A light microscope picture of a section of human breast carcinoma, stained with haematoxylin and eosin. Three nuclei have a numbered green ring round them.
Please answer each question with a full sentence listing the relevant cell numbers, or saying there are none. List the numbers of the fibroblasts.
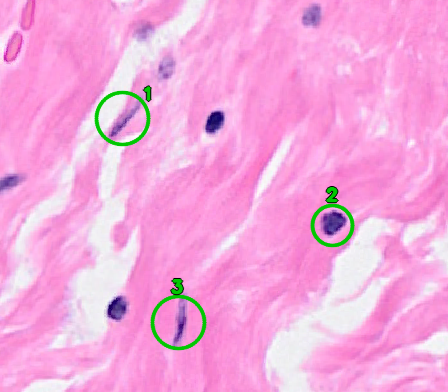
Cells 1 and 3 are fibroblasts by cell type.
